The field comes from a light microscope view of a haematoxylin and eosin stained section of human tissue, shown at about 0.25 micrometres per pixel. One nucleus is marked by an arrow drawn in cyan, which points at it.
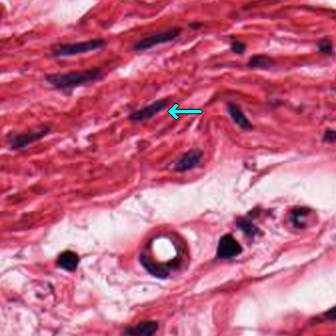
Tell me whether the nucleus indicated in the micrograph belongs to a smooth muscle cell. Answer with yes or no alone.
yes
